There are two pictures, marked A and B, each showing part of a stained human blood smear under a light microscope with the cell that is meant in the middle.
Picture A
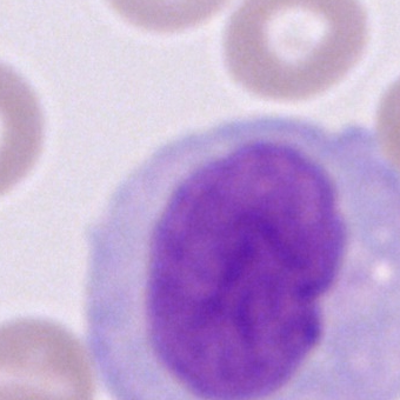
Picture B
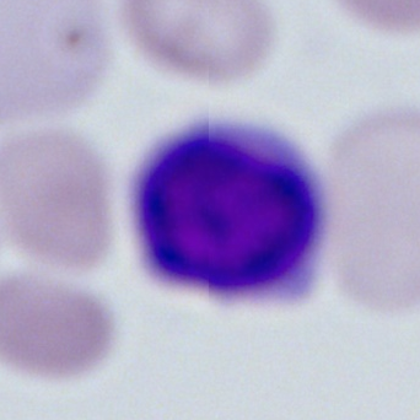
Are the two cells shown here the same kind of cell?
no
